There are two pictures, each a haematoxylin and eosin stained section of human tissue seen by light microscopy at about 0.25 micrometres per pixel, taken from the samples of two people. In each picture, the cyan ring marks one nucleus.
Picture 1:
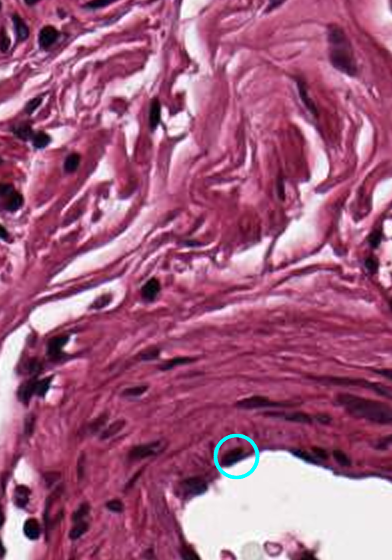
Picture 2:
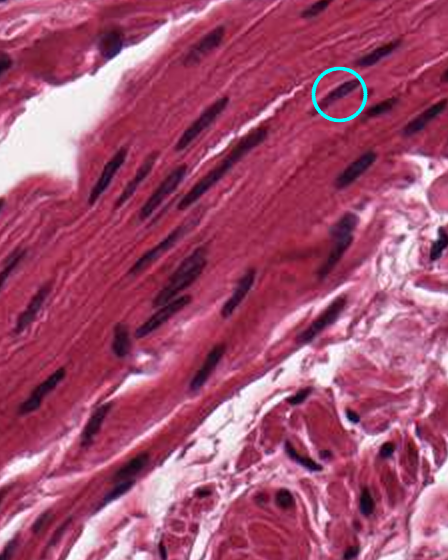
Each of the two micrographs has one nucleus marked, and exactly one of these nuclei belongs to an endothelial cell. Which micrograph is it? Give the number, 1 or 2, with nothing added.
1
